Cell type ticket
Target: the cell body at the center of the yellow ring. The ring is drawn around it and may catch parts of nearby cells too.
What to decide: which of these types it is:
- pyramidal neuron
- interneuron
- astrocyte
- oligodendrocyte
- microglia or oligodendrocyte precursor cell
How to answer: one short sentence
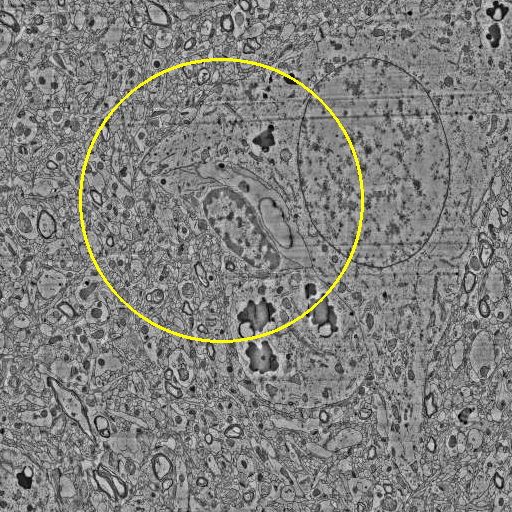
The cell at the center of the ring is a microglial cell or oligodendrocyte precursor cell.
